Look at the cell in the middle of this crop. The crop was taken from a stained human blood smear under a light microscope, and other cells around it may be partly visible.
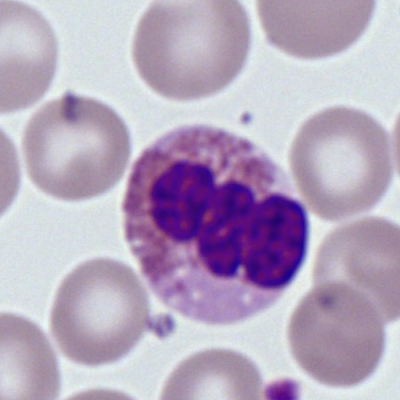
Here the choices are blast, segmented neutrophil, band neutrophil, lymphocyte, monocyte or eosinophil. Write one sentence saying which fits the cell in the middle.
The middle cell in this particular crop is an eosinophil.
